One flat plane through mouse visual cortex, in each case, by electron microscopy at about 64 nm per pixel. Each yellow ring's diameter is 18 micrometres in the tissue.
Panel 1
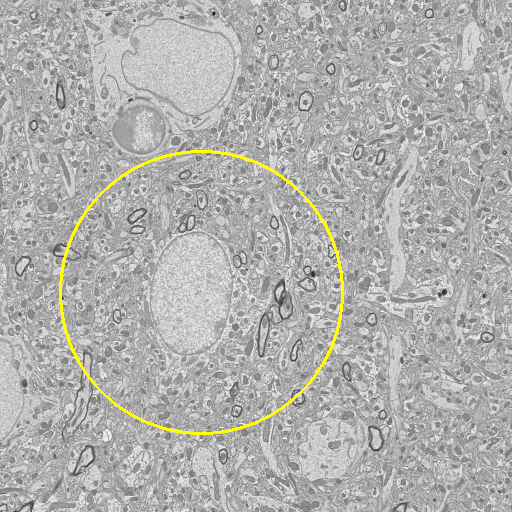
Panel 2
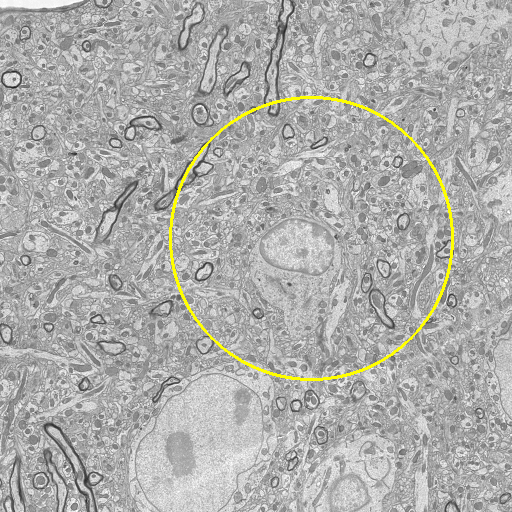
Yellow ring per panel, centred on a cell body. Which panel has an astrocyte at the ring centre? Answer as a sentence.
Panel 1 shows it at the ring centre.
